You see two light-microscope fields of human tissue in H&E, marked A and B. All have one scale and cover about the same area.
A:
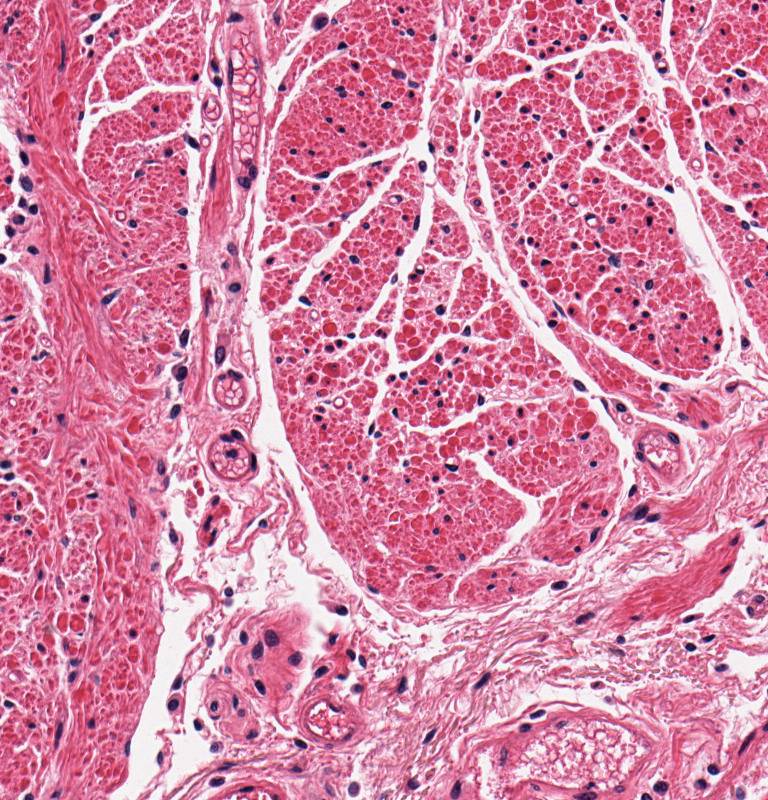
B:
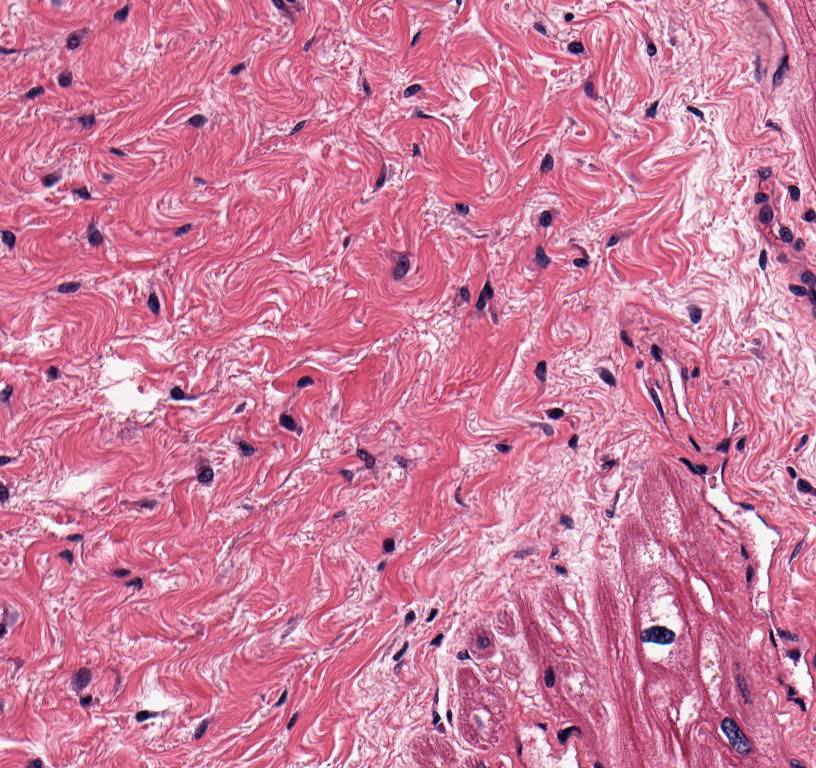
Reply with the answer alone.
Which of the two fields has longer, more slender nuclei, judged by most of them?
B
